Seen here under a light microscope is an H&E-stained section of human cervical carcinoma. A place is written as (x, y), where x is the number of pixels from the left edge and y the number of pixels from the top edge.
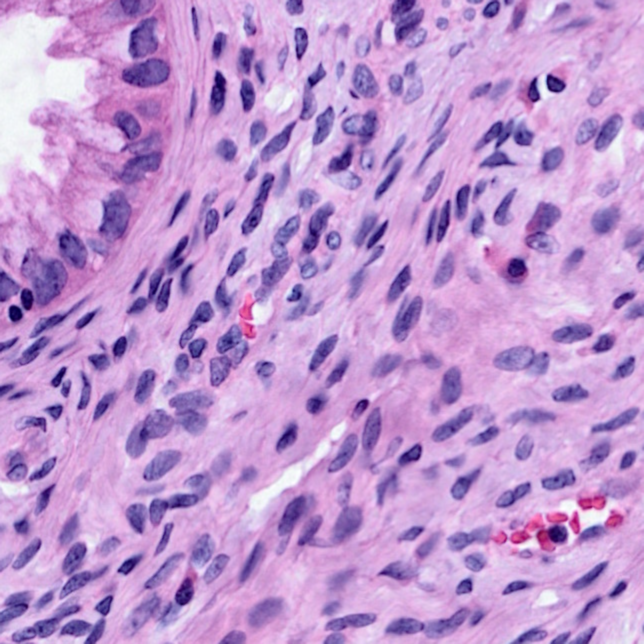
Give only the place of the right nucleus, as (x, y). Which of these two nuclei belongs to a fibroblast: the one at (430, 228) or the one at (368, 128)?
(430, 228)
